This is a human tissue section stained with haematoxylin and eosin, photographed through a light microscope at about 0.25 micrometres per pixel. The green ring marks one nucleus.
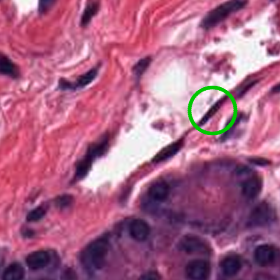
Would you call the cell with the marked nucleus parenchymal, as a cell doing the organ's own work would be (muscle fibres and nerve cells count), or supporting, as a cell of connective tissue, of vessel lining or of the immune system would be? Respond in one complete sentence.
In the section shown, the marked nucleus belongs to a supporting cell.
